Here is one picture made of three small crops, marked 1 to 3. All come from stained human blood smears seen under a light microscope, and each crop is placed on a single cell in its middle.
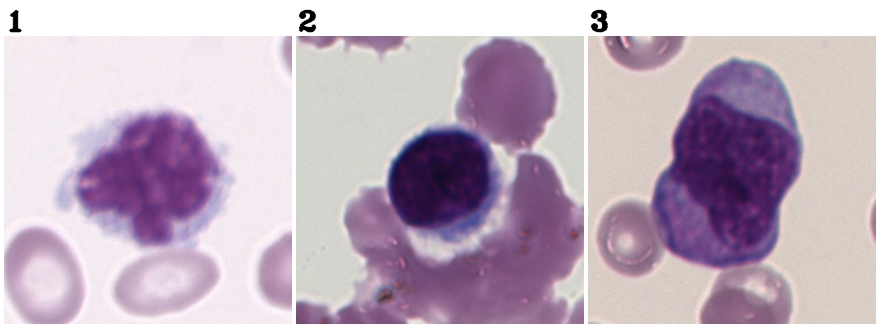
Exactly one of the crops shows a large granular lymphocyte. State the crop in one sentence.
The crop in which a large granular lymphocyte is shown is crop 1.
